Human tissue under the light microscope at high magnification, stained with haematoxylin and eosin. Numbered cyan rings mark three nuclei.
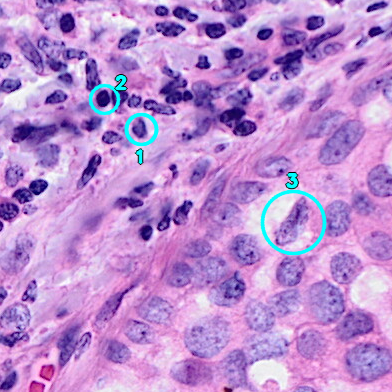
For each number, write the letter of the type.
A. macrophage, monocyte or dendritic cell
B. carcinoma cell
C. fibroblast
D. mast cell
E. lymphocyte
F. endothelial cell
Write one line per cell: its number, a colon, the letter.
1: E
2: E
3: B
